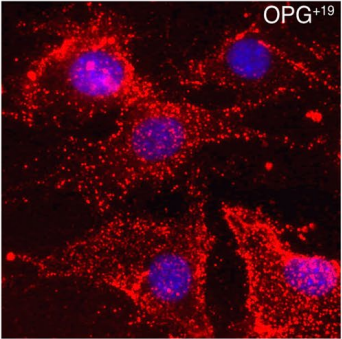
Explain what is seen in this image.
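Several cells lie close together, and their outlines are drawn out into broad sheets and thin processes that reach toward neighbouring cells. The red signal is granular: many small discrete dots are scattered over the cytoplasm and along the processes, extending to the cell margins, and some also lie over the nuclei. Between the cells the background is dark, with only a few isolated red dots.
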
